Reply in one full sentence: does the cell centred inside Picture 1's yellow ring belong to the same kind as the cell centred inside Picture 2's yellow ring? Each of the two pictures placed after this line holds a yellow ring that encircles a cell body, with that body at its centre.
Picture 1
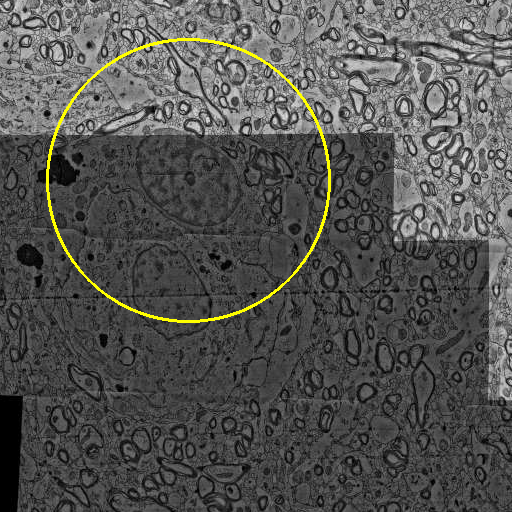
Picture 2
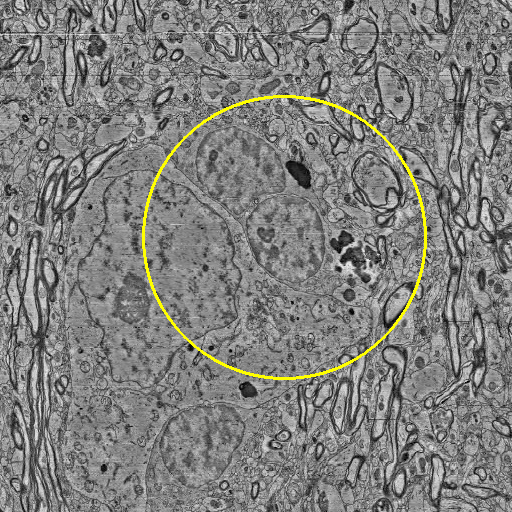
Yes, the ring-centred cells in Picture 1 and Picture 2 are of one and the same kind.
